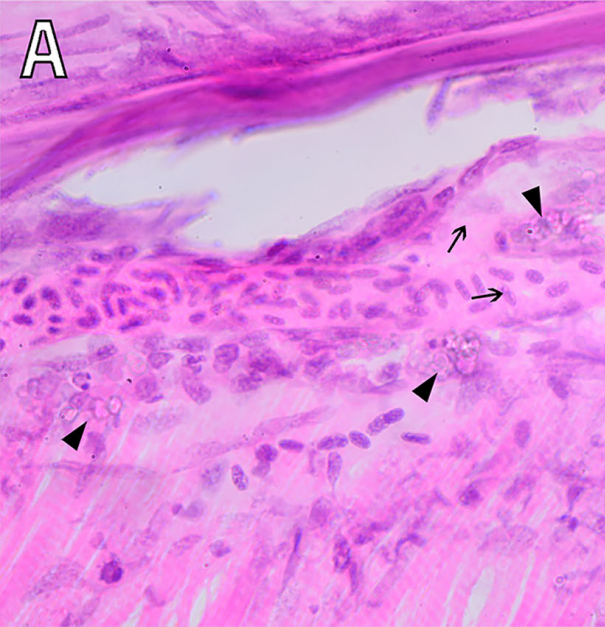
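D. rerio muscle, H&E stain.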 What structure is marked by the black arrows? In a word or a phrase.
capillary filled with erythrocytes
